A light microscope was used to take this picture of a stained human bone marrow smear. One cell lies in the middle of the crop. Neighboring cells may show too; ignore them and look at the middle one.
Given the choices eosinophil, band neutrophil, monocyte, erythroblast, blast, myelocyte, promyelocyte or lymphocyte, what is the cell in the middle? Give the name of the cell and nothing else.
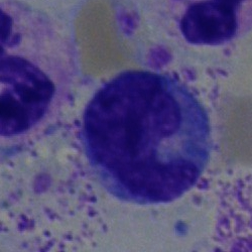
monocyte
